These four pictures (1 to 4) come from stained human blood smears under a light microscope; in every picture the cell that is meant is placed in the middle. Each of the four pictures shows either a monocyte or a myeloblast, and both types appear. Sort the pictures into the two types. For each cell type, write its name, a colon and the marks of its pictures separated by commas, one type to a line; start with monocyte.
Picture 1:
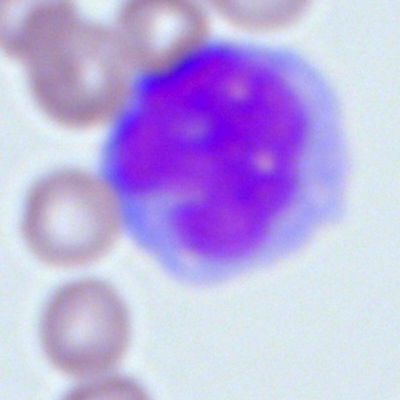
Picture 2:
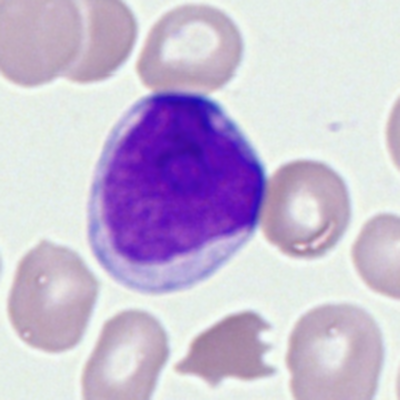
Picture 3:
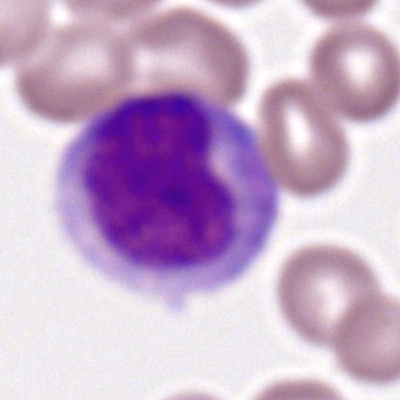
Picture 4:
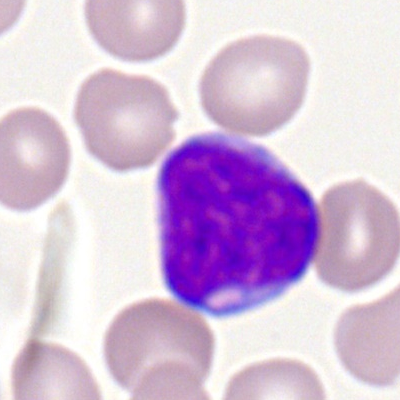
monocyte: 1, 3
myeloblast: 2, 4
